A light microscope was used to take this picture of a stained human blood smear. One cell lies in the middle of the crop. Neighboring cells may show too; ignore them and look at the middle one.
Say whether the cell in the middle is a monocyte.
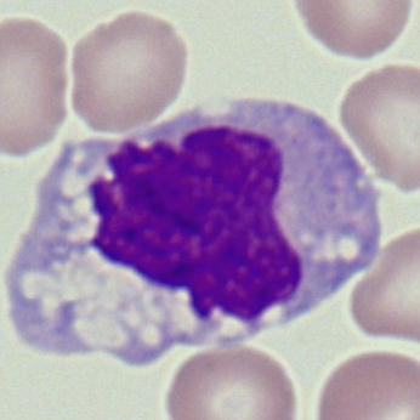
yes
